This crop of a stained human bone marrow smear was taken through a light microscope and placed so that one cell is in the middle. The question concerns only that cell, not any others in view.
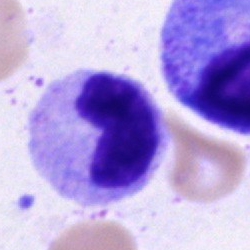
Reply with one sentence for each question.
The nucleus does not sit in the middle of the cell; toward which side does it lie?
The nucleus is pushed toward the right of the cell.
